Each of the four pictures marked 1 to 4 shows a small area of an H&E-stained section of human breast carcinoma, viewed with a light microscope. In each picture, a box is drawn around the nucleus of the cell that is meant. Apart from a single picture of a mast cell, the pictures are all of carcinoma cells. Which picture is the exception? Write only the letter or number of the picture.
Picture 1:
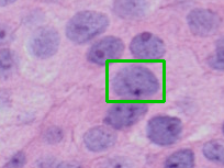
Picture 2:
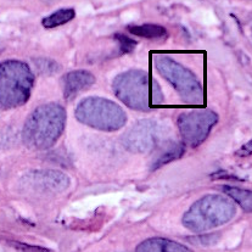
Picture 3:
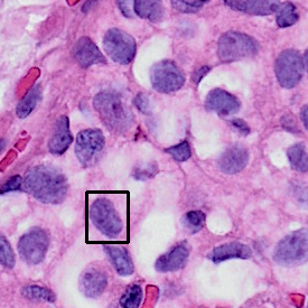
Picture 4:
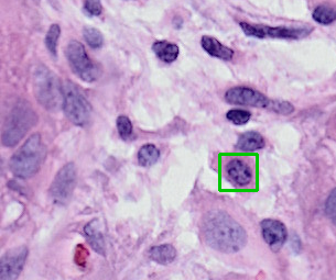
4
